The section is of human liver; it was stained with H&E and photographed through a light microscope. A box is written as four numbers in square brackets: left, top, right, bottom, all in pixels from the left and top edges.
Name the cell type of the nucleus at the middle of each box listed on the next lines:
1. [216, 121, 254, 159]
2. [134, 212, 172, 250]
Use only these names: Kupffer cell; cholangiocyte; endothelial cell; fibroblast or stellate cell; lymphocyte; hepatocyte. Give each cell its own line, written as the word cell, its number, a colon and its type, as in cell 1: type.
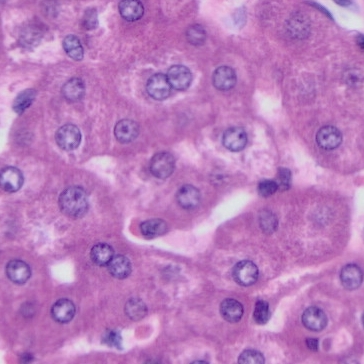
cell 1: hepatocyte
cell 2: Kupffer cell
